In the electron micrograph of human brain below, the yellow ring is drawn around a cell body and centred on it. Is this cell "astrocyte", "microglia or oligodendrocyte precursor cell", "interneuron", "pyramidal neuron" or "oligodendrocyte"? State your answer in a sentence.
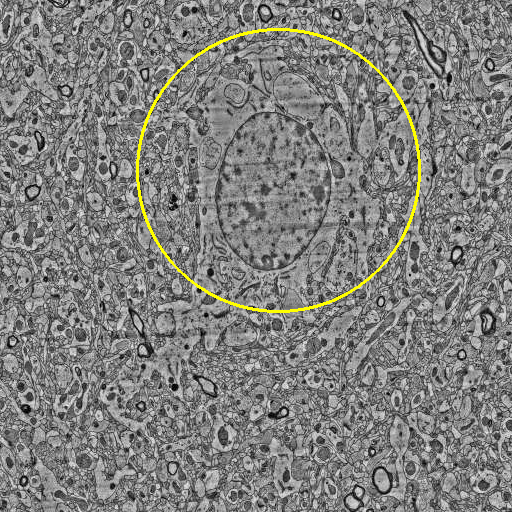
The cell in the middle of the ring is an astrocyte.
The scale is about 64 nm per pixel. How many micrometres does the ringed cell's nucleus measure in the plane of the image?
In this plane the nucleus spans approximately 10 by 7 micrometers.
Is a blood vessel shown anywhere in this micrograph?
No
